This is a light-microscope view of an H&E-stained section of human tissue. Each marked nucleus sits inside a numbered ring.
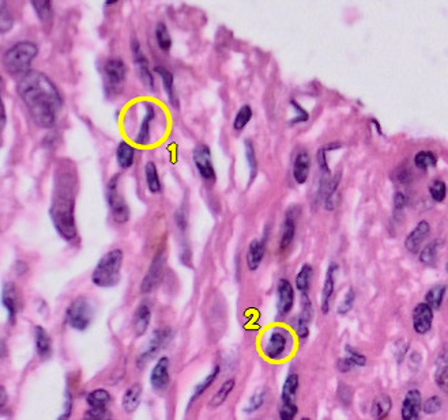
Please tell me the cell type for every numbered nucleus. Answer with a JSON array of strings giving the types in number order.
["fibroblast or myofibroblast", "plasma cell"]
